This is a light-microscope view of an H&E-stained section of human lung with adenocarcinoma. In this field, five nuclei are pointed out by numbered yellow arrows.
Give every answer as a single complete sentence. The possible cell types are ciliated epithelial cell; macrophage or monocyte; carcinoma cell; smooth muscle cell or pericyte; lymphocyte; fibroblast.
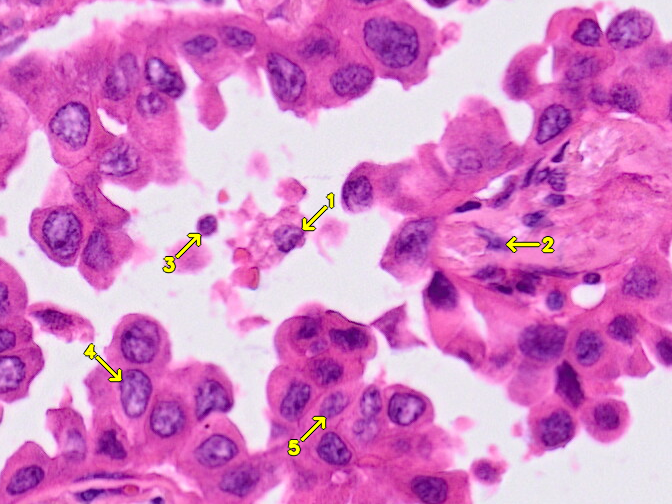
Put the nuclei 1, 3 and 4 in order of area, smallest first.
By area, going up from the smallest, they rank 3, 1, 4.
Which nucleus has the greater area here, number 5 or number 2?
Nucleus 5 is larger, with an area about 2.5 times that of nucleus 2.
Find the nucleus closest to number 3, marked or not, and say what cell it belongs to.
It is a macrophage or monocyte whose nucleus is nearest to number 3.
